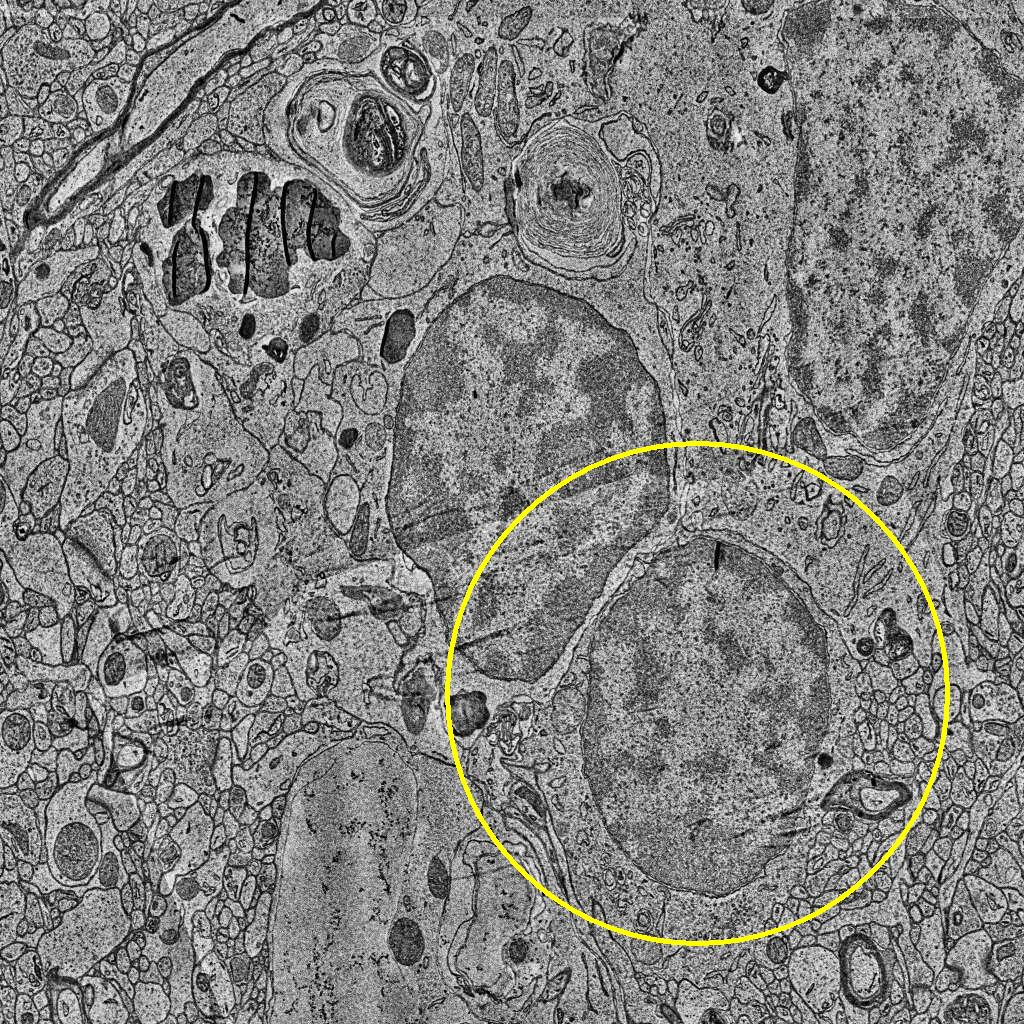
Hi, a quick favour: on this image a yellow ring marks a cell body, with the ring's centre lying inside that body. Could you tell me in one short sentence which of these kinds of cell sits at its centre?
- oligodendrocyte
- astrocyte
The ring's centre lies in an oligodendrocyte.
